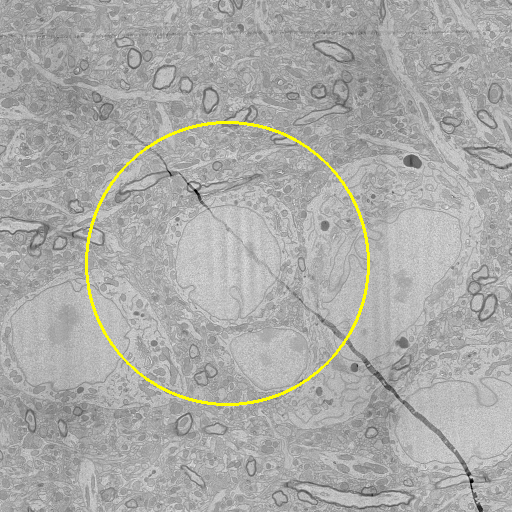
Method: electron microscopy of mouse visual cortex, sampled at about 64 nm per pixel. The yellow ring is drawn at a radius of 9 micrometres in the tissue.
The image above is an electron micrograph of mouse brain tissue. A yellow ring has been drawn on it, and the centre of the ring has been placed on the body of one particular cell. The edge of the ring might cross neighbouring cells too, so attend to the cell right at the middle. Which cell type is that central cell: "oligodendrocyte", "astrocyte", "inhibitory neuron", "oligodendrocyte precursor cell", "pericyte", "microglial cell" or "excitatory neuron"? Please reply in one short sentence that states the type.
The central cell in the ring is an inhibitory neuron.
